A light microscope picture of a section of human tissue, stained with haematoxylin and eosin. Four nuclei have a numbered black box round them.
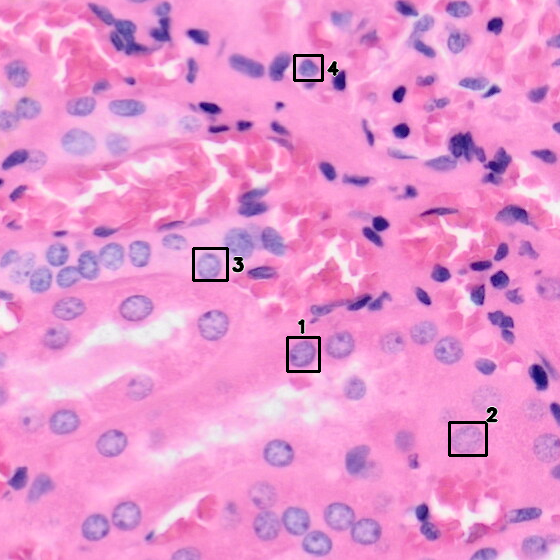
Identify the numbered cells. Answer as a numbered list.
1. proximal tubule cell
2. proximal tubule cell
3. collecting duct cell
4. endothelial cell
